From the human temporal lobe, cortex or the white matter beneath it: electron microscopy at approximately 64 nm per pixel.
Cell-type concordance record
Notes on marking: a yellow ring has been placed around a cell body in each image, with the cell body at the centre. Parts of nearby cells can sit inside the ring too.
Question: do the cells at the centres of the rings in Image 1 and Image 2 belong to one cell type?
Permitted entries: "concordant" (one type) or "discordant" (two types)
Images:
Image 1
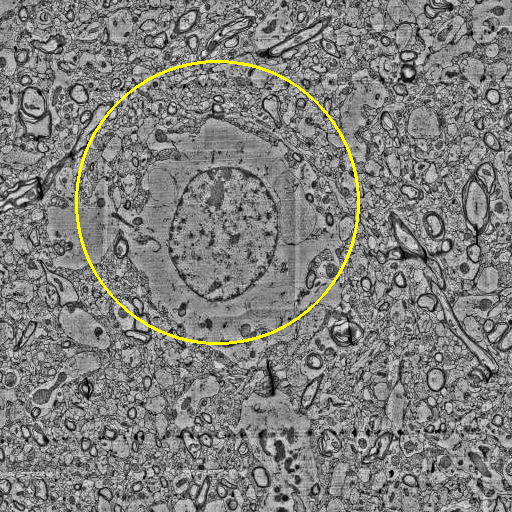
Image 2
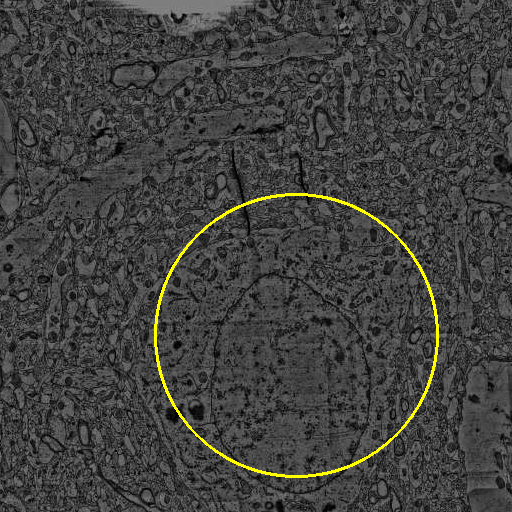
discordant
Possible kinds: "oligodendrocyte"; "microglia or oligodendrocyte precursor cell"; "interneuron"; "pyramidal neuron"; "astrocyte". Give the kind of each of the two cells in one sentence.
The cell in the second picture is a pyramidal neuron, and that in the first is an astrocyte.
